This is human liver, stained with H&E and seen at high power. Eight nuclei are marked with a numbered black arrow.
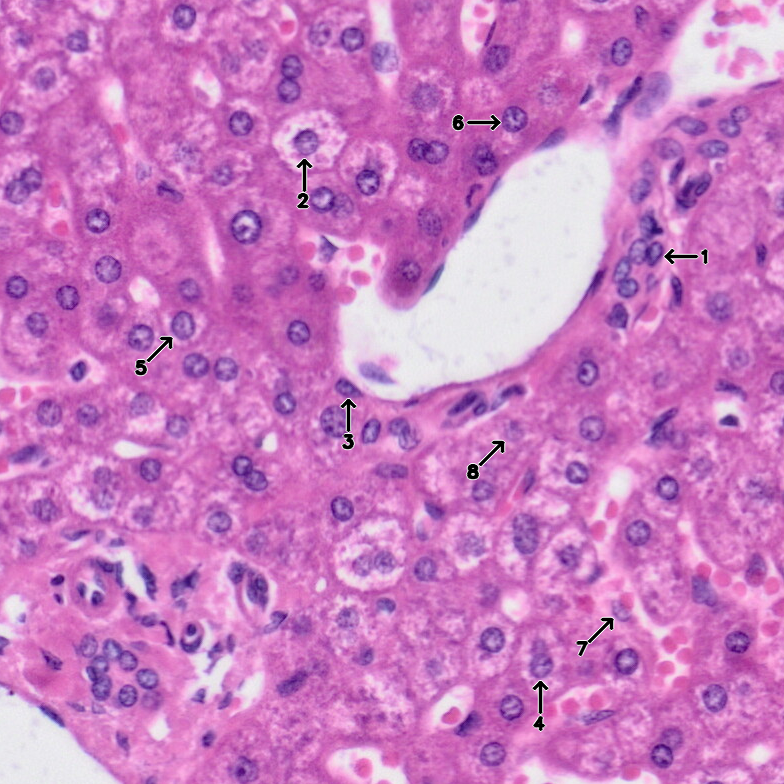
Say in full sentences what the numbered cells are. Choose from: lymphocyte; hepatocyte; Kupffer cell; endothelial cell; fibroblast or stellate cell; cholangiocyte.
Cell 1 is a cholangiocyte. Cells 2, 4, 5, 6 and 8 are hepatocytes. Cell 3 is a fibroblast or stellate cell. Cell 7 is a Kupffer cell.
